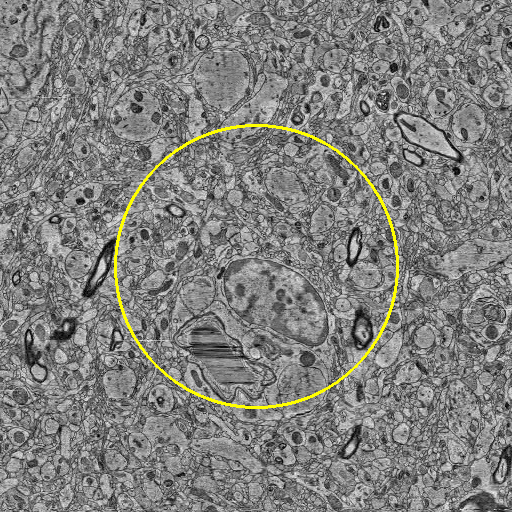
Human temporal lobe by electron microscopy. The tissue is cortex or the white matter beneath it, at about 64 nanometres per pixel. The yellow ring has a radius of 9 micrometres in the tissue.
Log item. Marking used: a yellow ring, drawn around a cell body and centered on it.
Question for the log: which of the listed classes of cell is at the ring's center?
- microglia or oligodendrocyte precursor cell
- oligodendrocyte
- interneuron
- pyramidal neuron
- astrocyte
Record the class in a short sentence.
At the center of the ring lies a microglial cell or oligodendrocyte precursor cell.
